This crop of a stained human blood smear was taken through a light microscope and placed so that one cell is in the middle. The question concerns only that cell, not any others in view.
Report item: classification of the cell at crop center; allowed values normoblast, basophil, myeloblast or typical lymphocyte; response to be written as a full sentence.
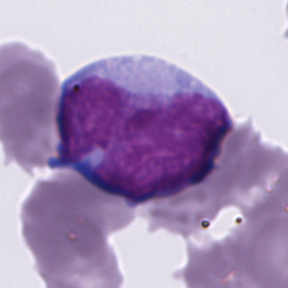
The target cell in the middle of the crop is a myeloblast.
